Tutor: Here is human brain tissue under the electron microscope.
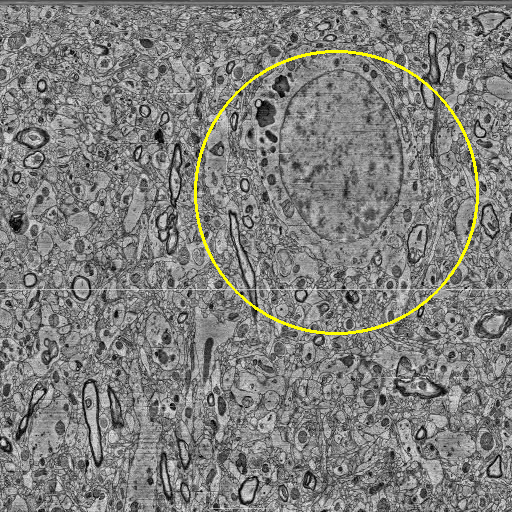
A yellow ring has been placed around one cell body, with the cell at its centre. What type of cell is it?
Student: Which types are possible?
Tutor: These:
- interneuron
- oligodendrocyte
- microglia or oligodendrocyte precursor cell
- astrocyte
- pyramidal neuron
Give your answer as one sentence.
What the ring picks out here is an interneuron.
